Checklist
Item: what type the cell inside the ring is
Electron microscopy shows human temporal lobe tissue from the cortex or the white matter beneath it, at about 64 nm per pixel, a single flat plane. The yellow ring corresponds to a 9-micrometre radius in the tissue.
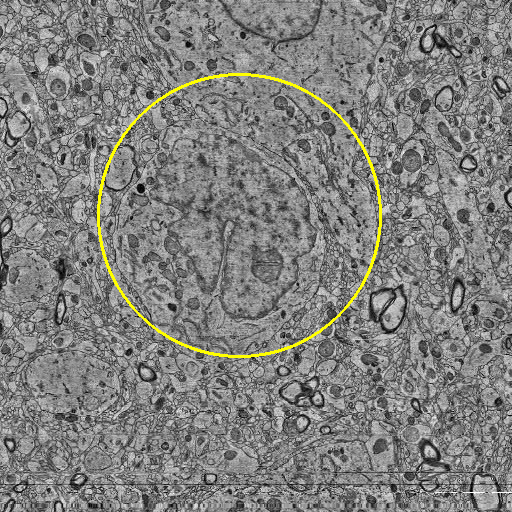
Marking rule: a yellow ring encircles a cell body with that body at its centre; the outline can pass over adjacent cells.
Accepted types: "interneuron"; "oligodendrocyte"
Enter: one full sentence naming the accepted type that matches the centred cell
The entry is that an interneuron lies at the centre of the yellow ring.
